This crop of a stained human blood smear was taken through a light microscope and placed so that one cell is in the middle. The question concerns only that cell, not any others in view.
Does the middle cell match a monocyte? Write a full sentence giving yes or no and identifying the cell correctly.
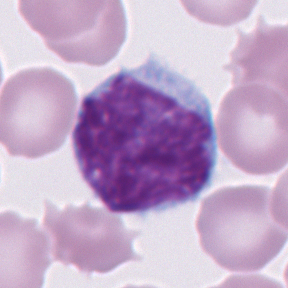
Yes, the cell that occupies the centre is a monocyte.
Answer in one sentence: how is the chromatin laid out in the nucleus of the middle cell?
Here the nuclear chromatin is coarsely clumped.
